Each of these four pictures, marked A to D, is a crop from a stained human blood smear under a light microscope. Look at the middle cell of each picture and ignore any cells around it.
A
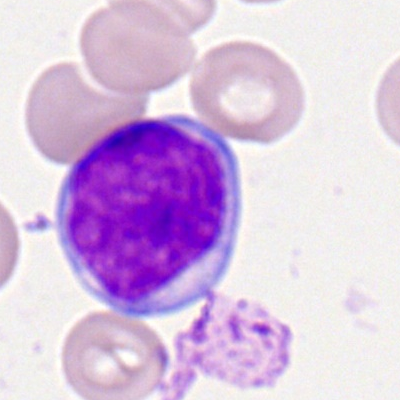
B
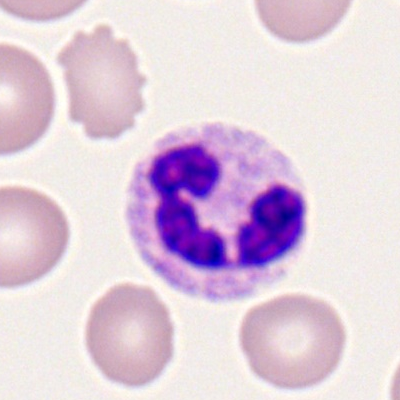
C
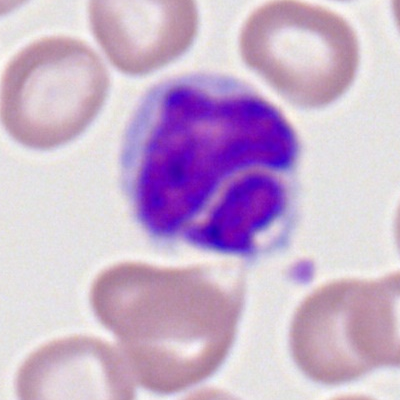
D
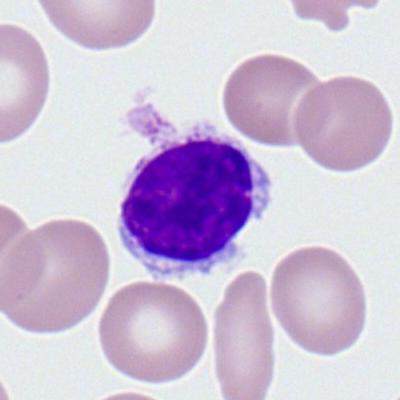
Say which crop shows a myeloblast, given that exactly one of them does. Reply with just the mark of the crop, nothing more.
A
